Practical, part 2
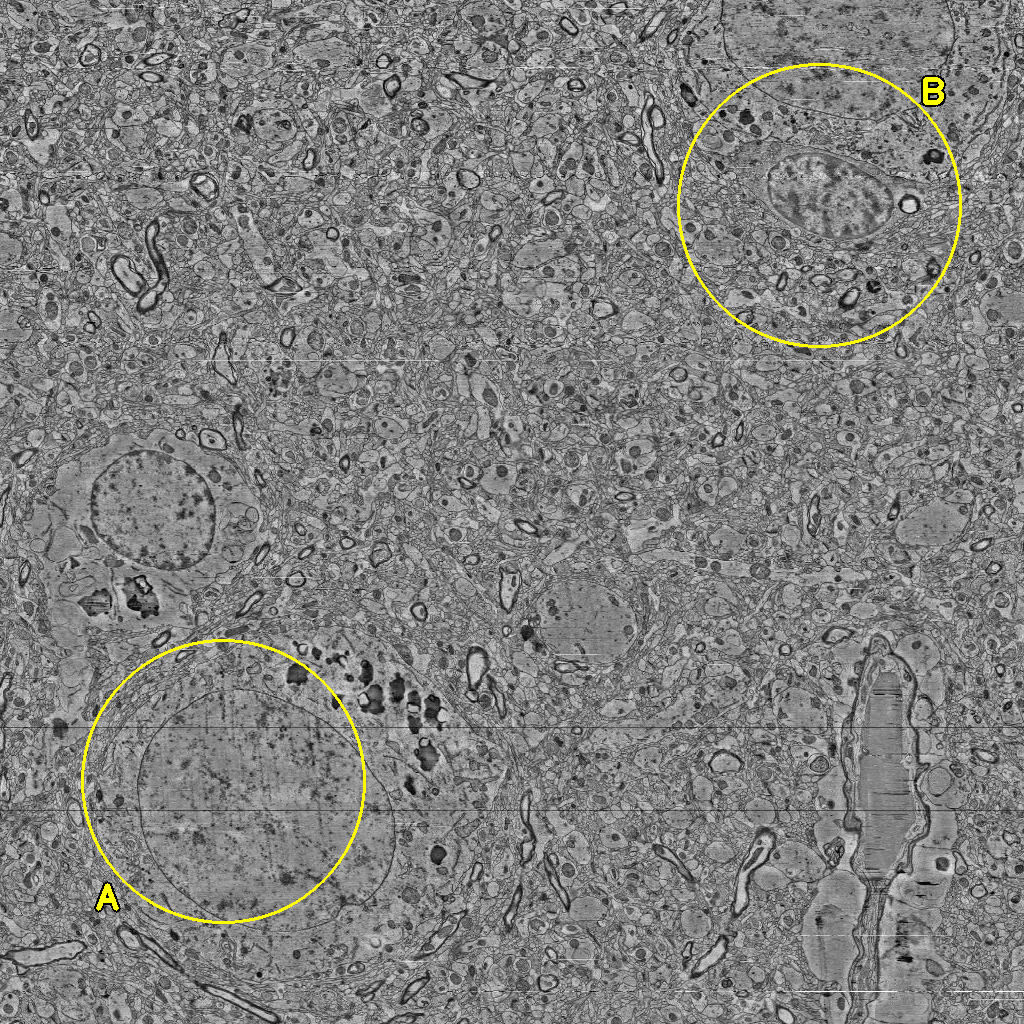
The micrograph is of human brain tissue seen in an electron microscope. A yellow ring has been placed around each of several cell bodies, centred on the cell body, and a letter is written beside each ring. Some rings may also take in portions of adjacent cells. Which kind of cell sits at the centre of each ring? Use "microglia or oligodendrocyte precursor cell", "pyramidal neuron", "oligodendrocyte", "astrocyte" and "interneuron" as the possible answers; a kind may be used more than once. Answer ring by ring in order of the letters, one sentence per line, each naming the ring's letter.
Ring A sits on a pyramidal neuron.
Ring B sits on an oligodendrocyte.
